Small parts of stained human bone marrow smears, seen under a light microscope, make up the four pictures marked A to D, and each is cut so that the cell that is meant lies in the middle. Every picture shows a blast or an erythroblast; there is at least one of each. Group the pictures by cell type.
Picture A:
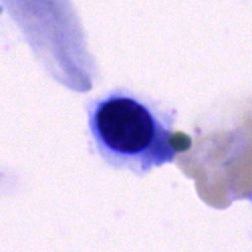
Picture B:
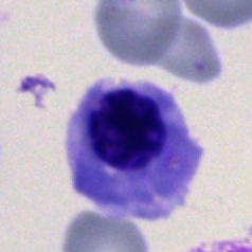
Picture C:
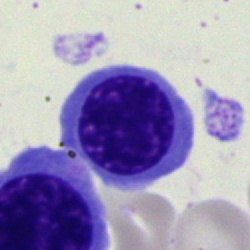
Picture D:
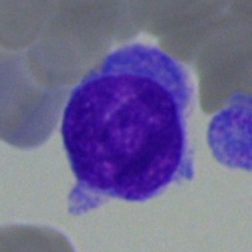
A: erythroblast
B: erythroblast
C: erythroblast
D: blast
